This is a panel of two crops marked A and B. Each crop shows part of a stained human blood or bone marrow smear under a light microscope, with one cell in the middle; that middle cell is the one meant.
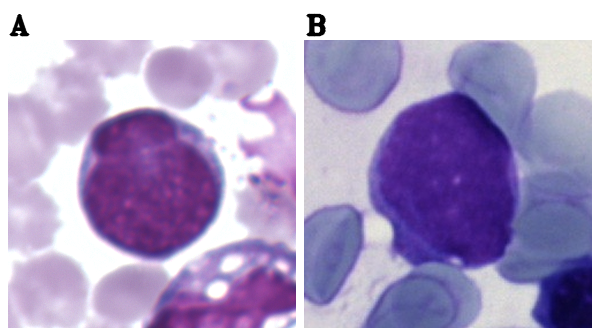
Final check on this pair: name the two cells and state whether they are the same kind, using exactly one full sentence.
Yes, both crops, not just one, show blasts.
